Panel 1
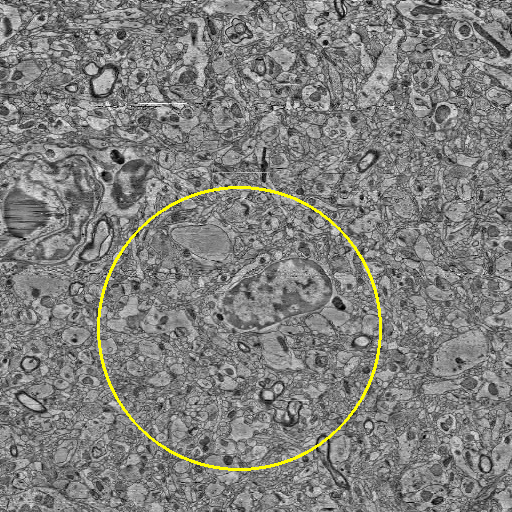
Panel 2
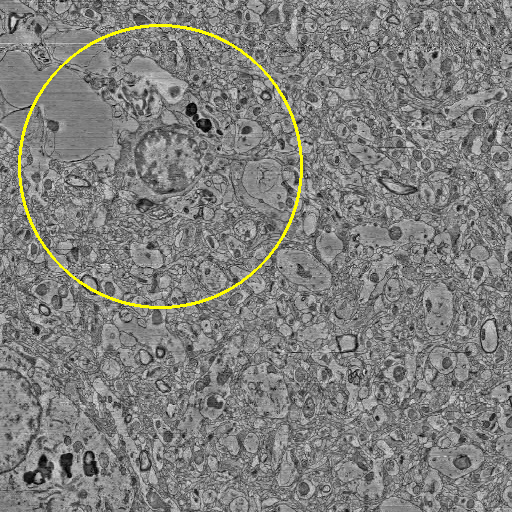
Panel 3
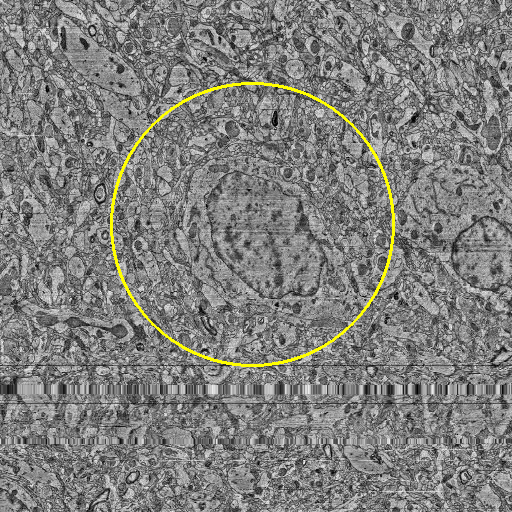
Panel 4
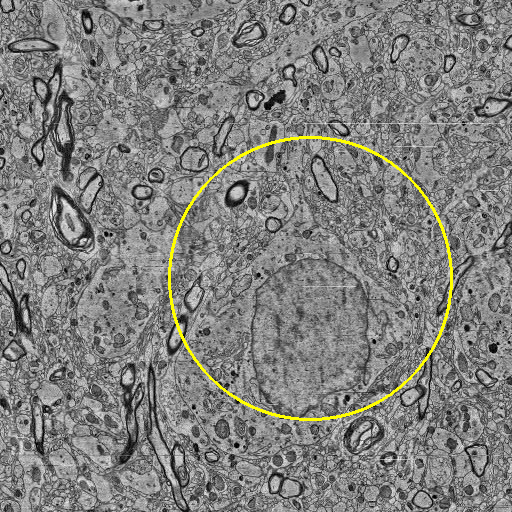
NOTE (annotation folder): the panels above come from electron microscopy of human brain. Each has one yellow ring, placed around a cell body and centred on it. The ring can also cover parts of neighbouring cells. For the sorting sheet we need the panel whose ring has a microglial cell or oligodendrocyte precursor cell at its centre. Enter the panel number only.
1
